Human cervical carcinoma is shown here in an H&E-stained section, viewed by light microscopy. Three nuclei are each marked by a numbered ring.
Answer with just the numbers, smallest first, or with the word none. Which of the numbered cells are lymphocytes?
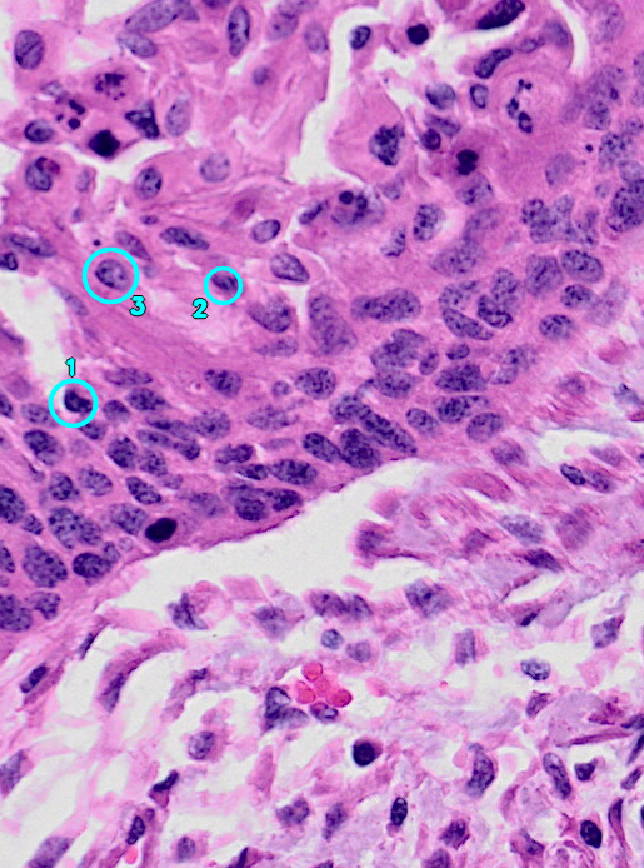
1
